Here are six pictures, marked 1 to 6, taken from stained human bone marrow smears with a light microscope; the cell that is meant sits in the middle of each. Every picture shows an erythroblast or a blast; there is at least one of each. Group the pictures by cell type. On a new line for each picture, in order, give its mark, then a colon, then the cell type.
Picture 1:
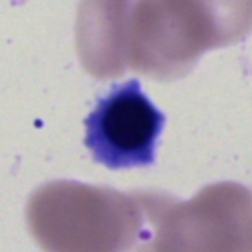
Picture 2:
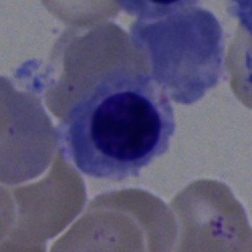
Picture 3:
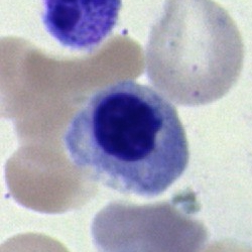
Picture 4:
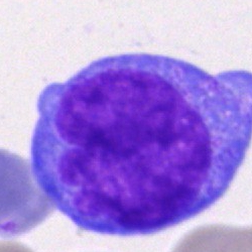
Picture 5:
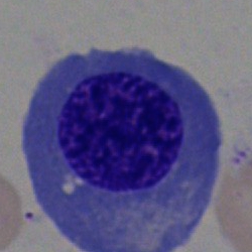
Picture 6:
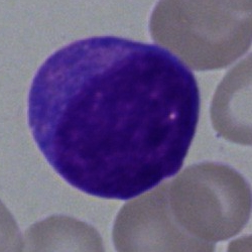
1: erythroblast
2: erythroblast
3: erythroblast
4: blast
5: erythroblast
6: blast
